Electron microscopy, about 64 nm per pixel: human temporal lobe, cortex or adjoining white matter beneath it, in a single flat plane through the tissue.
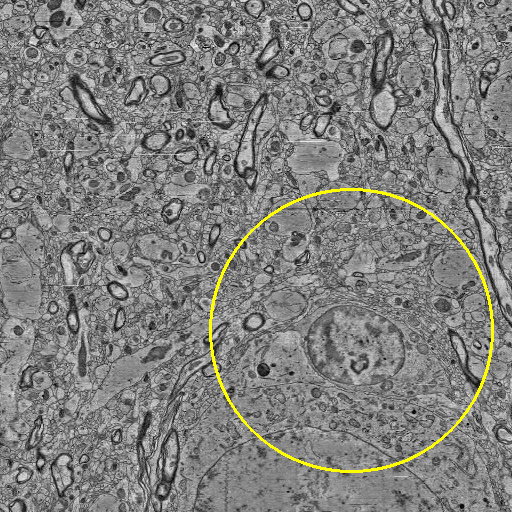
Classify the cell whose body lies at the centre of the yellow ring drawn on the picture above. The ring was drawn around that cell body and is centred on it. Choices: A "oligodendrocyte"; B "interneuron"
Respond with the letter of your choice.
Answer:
A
